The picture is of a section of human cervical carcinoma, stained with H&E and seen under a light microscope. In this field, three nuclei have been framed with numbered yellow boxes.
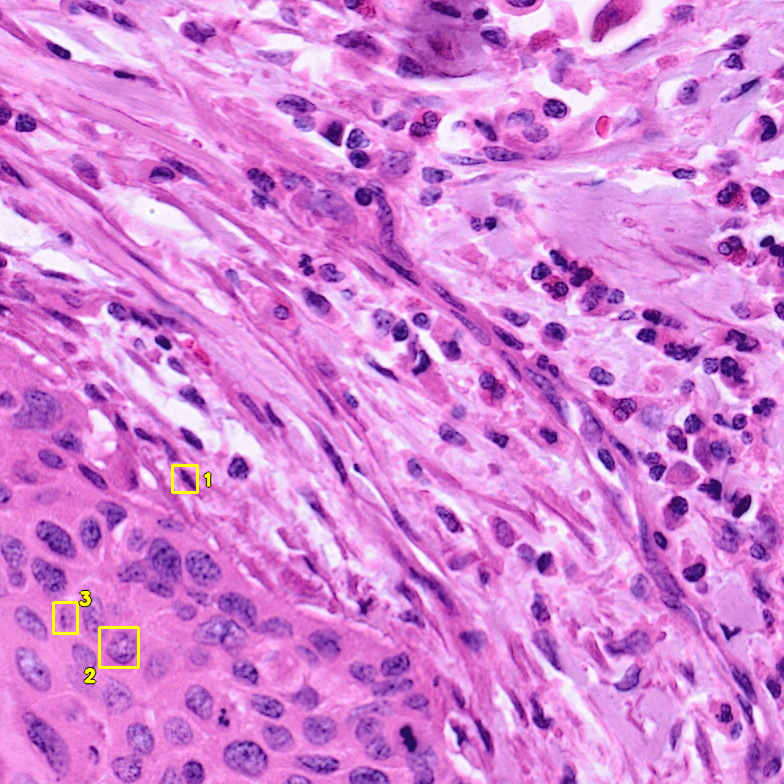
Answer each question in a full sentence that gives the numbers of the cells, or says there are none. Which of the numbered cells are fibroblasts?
Just the cell marked 1 is a fibroblast; none of the other marked cells is.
